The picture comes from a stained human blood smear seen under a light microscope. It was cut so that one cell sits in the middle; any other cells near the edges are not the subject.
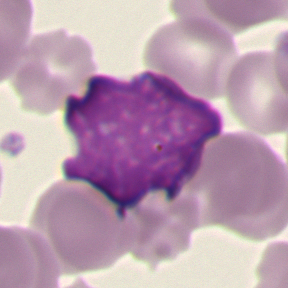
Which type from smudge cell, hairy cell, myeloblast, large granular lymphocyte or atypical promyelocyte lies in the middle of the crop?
smudge cell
